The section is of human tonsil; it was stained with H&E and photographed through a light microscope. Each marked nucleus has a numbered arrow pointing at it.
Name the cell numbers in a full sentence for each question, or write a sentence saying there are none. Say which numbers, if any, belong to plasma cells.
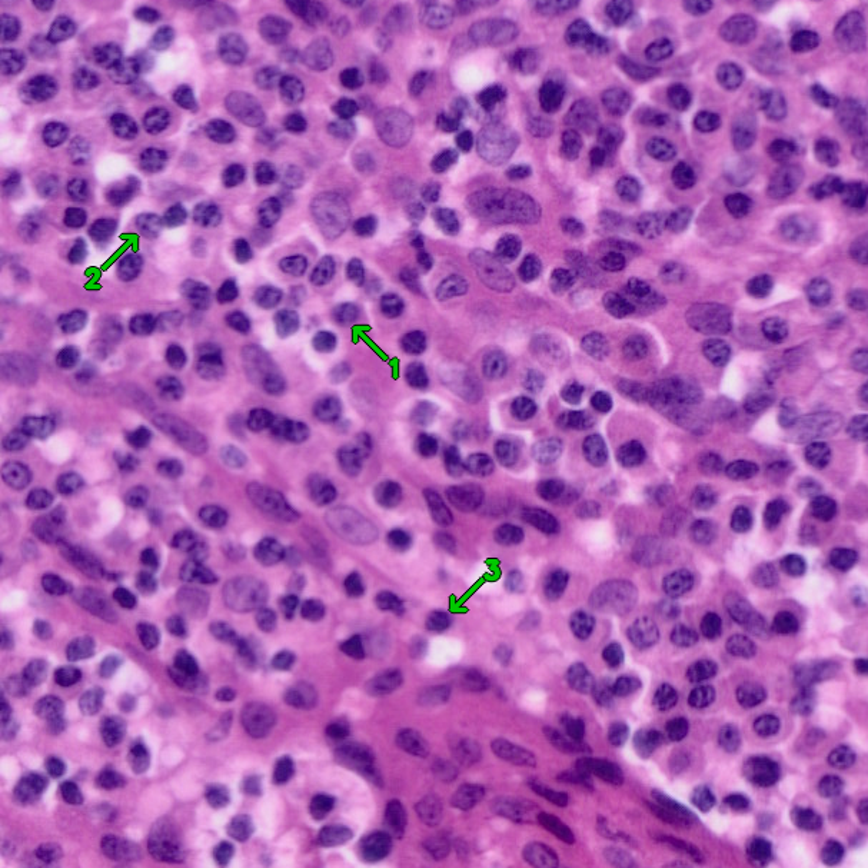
Cells 1 and 2 are plasma cells by cell type.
